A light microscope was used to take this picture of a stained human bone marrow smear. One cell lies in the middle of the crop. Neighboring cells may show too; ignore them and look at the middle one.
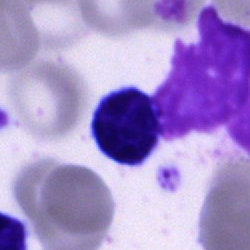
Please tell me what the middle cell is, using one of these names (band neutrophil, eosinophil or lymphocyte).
lymphocyte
